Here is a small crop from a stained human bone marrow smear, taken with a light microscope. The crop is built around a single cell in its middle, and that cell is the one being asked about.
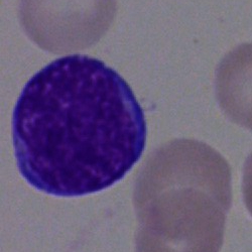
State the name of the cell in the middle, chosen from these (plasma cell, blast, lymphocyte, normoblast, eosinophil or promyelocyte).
blast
